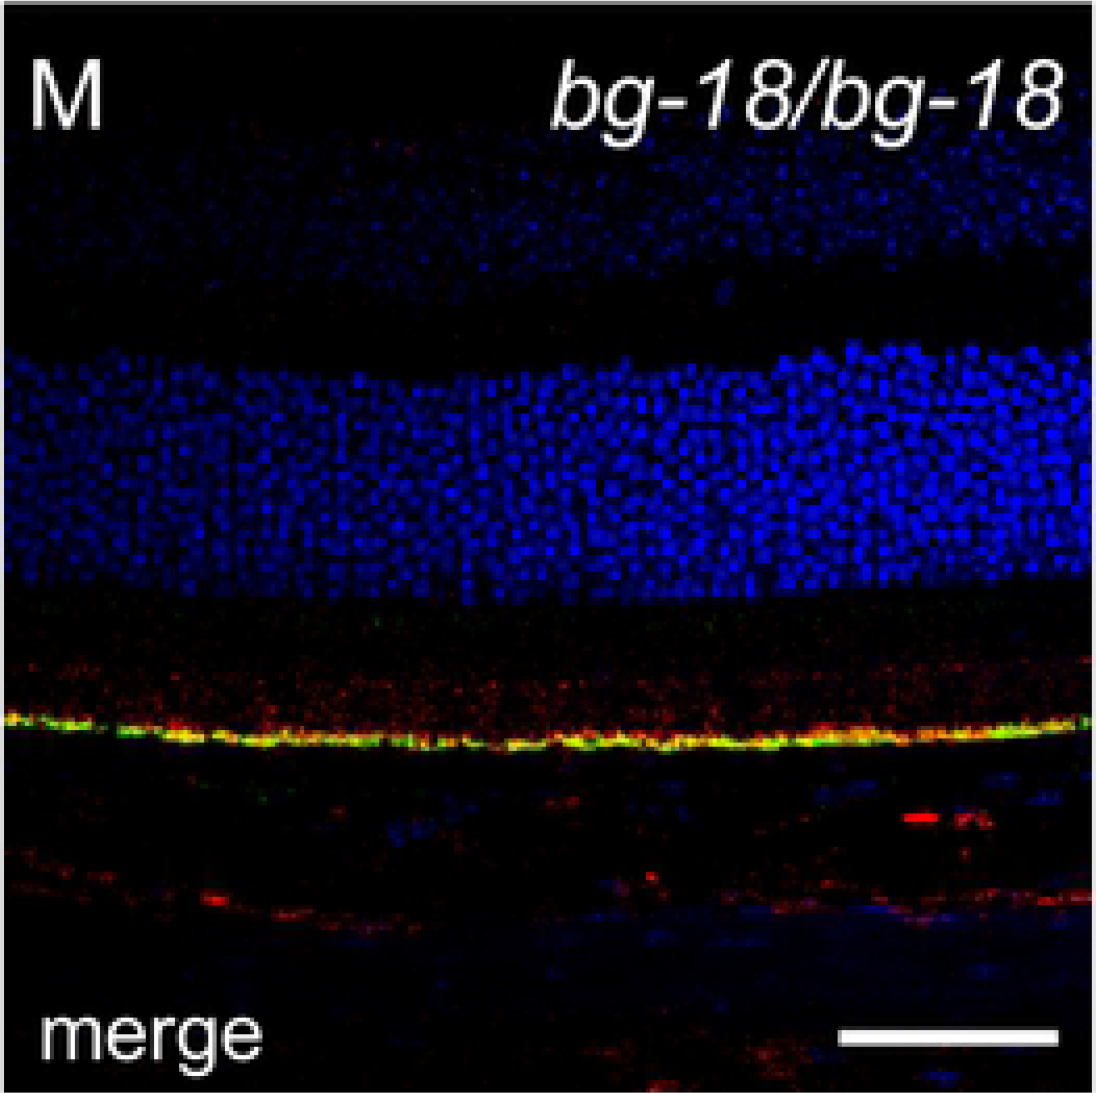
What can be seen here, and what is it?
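This is a cross-section of the outer retina showing the nuclear layers and the retina pigment epithelium. Below it lies a dim zone with scattered red speckles. At the outer edge a thin, continuous bright yellow line marks overlapping green and red in the pigment epithelium. Beneath this line a few short red streaks and dots are scattered in the dark tissue.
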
